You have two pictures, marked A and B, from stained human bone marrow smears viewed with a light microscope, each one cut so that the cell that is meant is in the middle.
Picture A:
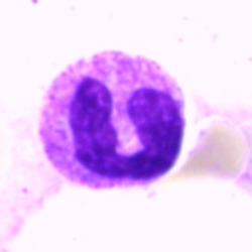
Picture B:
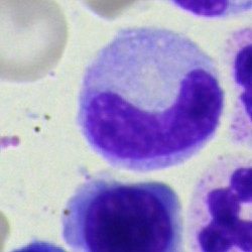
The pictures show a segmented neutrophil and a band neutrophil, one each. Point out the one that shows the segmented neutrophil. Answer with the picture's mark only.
A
